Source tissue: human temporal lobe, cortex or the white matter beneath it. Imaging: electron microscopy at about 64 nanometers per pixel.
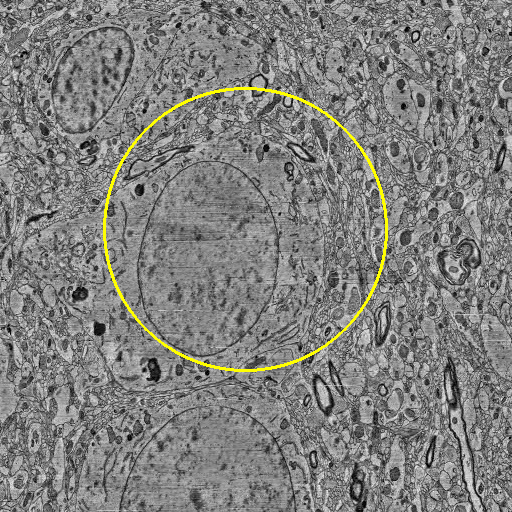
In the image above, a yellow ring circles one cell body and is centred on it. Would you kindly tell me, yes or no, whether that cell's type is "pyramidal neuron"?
yes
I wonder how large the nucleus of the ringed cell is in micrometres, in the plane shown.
In this plane the nucleus is about 13 micrometres by 9.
